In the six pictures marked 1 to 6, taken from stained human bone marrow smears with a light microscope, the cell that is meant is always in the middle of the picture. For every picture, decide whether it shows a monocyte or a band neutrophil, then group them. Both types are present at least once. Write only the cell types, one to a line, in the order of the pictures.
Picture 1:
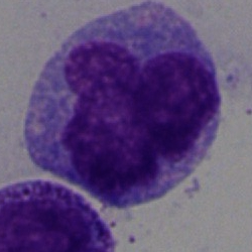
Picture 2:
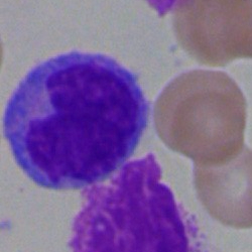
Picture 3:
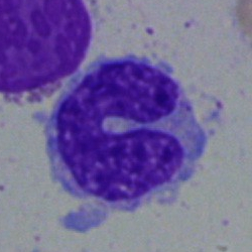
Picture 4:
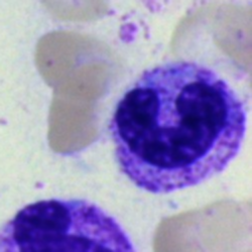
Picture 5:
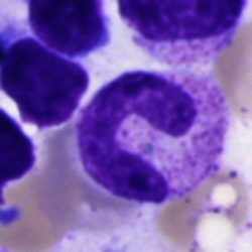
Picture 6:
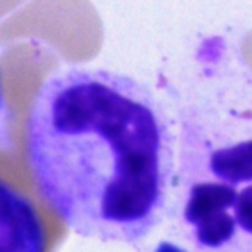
monocyte
monocyte
monocyte
band neutrophil
band neutrophil
band neutrophil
